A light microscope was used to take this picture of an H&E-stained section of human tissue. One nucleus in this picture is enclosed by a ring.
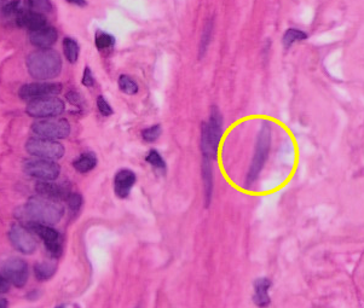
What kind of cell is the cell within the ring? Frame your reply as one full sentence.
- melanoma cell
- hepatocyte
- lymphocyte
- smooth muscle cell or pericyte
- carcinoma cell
Students should answer that the cell within the ring is a smooth muscle cell or pericyte.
